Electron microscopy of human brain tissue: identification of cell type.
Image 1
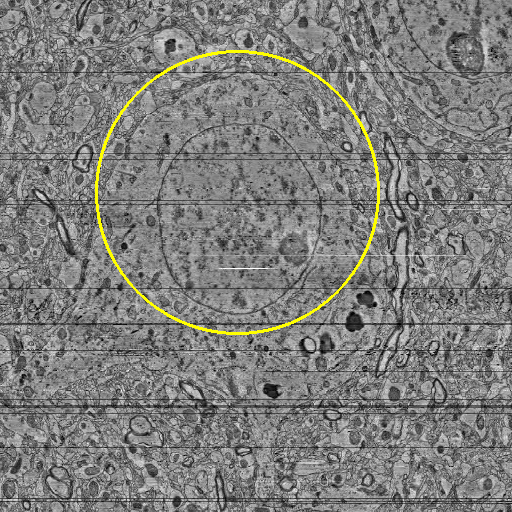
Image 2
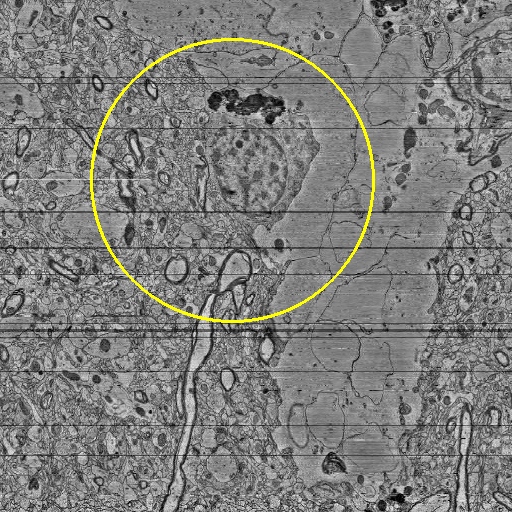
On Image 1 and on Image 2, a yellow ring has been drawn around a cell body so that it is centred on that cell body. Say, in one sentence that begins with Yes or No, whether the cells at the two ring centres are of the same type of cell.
No, the two cells are two separate types of cell.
